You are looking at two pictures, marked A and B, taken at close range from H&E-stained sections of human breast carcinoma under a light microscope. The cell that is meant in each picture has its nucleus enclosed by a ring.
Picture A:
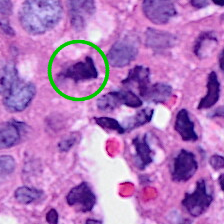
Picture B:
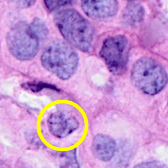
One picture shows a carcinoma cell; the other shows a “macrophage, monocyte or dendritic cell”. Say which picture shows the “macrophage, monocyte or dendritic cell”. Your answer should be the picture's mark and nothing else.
B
